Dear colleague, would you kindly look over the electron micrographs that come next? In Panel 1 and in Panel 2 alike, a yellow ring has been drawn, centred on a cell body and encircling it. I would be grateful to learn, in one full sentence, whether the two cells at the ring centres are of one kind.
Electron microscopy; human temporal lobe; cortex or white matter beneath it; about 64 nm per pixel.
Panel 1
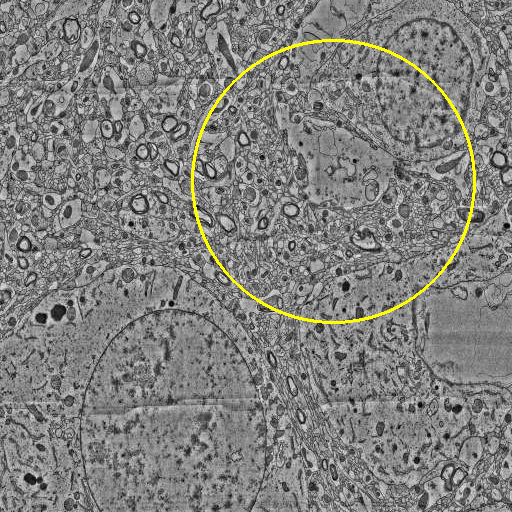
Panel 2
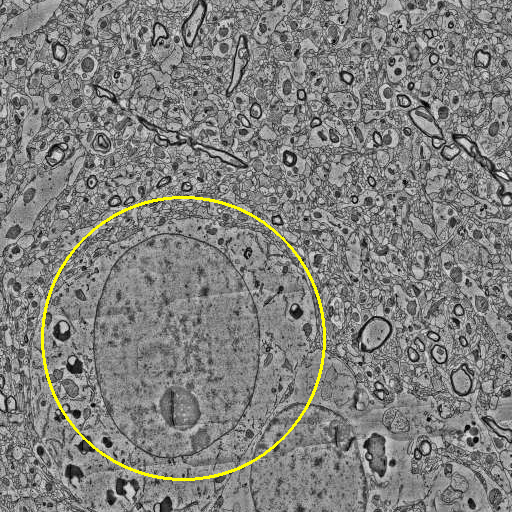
No, the cells in the middle of the rings in the two panels are of two kinds.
